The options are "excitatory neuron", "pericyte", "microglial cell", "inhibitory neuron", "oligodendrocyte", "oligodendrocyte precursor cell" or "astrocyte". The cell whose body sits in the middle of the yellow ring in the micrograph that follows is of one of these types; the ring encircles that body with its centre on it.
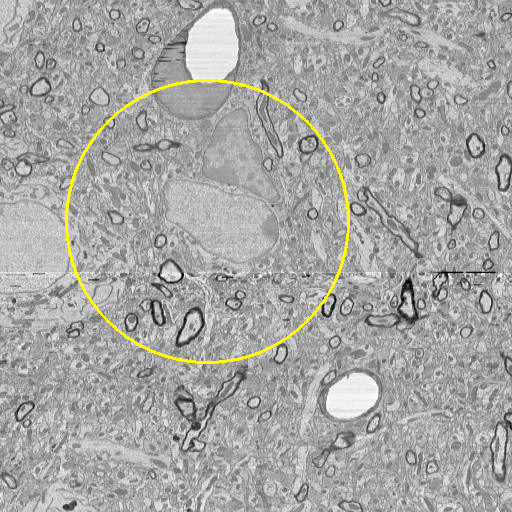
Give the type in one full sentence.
Going by the micrograph, the cell centred in the yellow ring is an oligodendrocyte precursor cell.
